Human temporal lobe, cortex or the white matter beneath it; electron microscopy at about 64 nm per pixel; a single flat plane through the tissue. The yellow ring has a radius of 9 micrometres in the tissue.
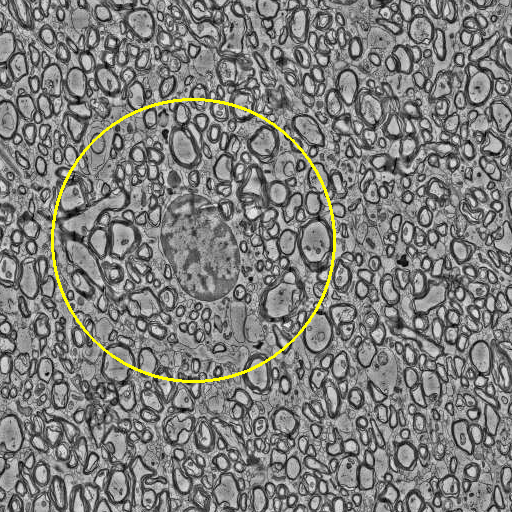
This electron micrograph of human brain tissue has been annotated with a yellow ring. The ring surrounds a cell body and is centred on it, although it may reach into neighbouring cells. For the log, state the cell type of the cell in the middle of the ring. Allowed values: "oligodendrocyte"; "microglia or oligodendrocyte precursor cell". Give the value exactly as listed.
microglia or oligodendrocyte precursor cell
